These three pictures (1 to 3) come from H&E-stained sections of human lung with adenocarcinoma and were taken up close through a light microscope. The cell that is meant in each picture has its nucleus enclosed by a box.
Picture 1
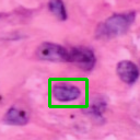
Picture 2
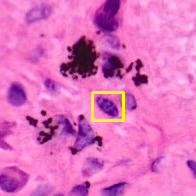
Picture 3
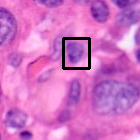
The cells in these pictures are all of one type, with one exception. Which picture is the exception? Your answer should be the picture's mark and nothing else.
3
